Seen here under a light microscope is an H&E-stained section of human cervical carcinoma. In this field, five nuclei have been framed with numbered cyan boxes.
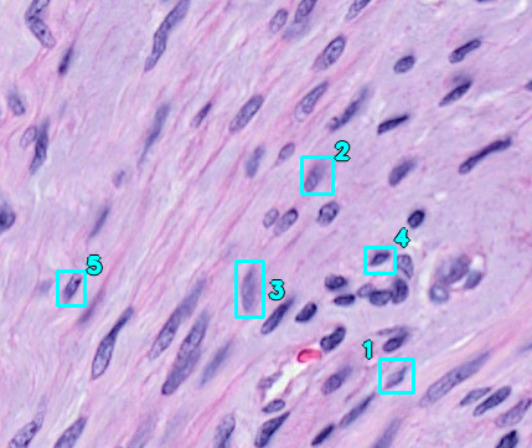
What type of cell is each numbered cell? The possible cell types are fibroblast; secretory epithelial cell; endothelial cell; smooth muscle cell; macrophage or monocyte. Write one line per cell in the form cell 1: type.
cell 1: fibroblast
cell 2: smooth muscle cell
cell 3: smooth muscle cell
cell 4: fibroblast
cell 5: smooth muscle cell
